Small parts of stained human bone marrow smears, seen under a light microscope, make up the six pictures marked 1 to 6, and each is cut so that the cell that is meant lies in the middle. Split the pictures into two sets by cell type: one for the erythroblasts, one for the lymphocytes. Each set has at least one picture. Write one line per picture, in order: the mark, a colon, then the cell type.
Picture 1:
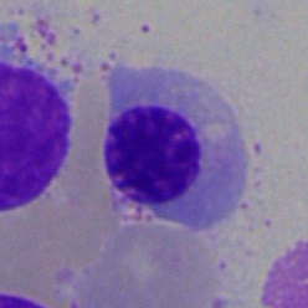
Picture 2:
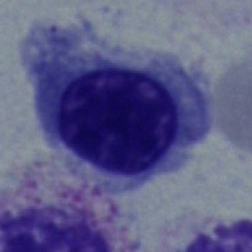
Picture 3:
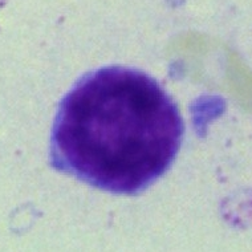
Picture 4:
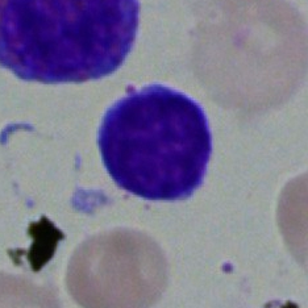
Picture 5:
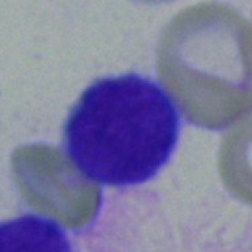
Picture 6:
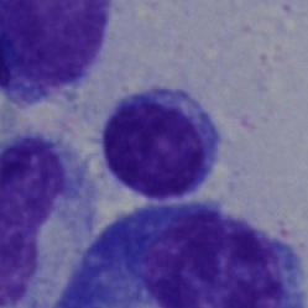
1: erythroblast
2: erythroblast
3: lymphocyte
4: lymphocyte
5: lymphocyte
6: lymphocyte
